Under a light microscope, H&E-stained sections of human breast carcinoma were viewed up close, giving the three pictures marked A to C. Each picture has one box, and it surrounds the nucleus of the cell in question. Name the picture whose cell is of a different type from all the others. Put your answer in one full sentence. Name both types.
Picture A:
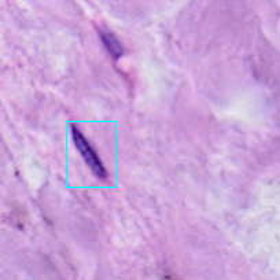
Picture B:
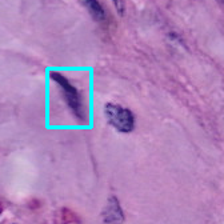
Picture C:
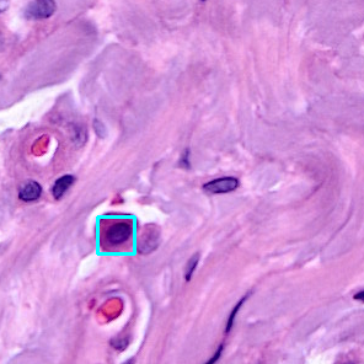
The different one is picture C; it shows a mast cell, whereas all the others show fibroblasts.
